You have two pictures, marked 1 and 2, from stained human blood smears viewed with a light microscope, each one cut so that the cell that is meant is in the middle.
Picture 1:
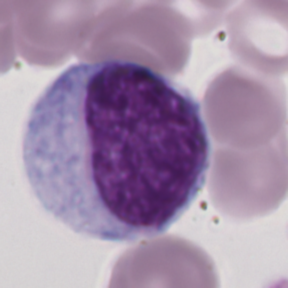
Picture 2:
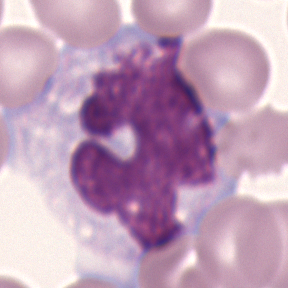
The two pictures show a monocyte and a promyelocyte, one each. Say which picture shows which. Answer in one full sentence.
The cell in picture 1 is a promyelocyte, and the one in picture 2 is a monocyte.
